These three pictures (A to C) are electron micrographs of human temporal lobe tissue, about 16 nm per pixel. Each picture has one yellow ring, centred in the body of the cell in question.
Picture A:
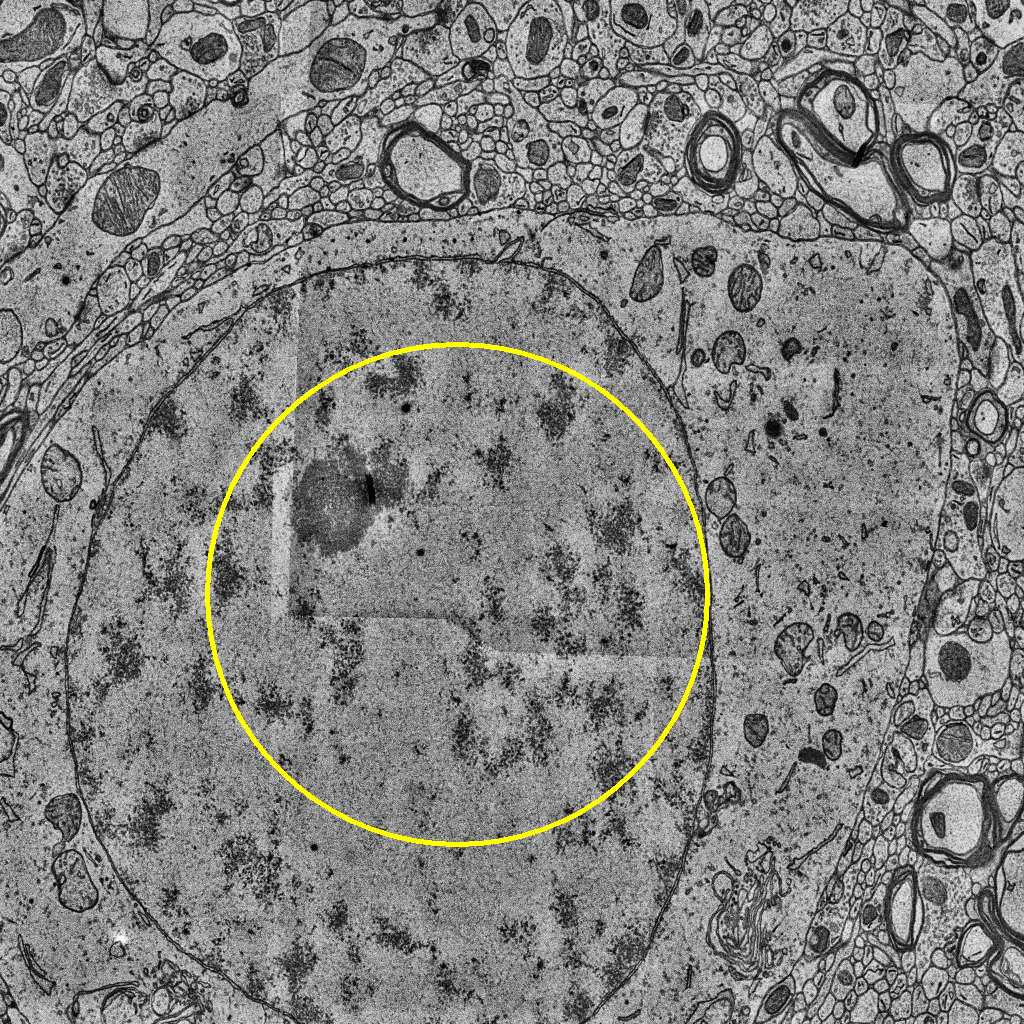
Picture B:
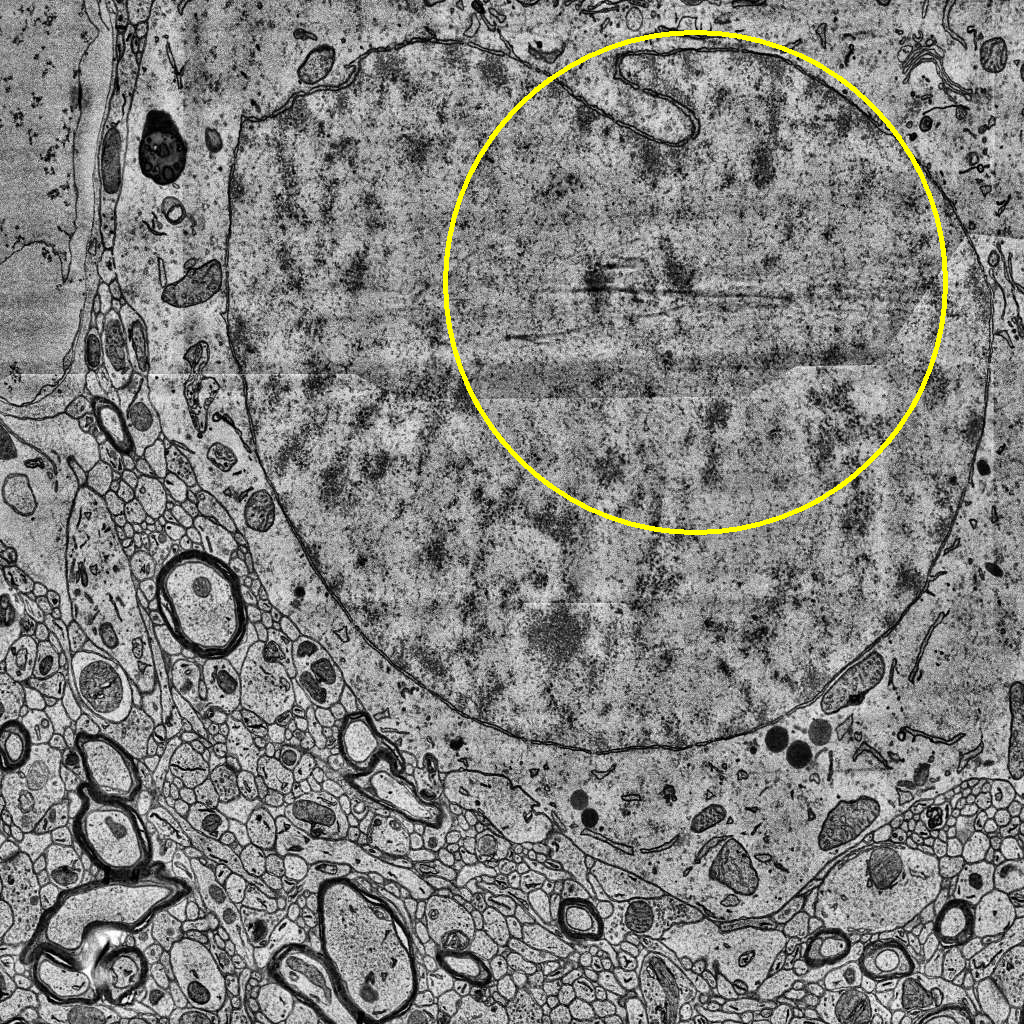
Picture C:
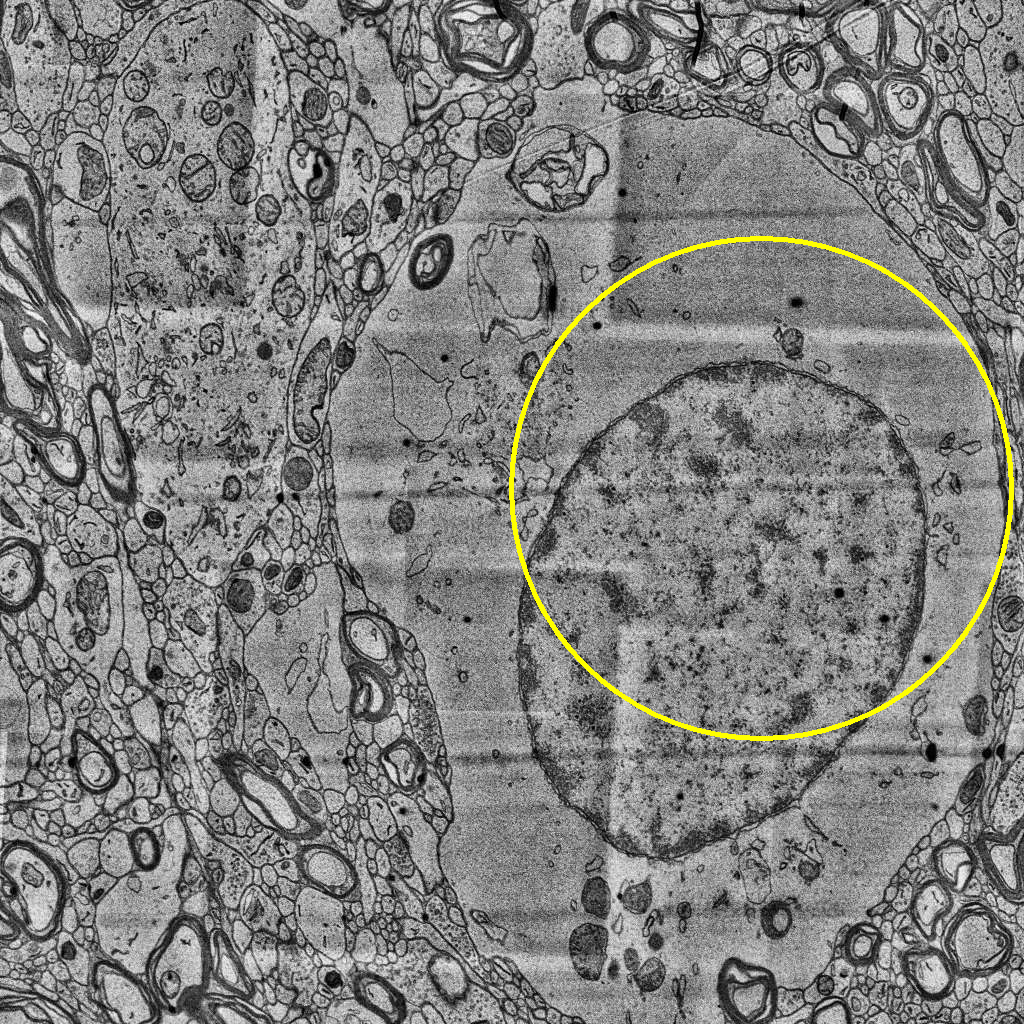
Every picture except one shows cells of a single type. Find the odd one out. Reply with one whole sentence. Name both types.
Picture C differs, because its cell is an astrocyte and the rest are pyramidal neurons.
